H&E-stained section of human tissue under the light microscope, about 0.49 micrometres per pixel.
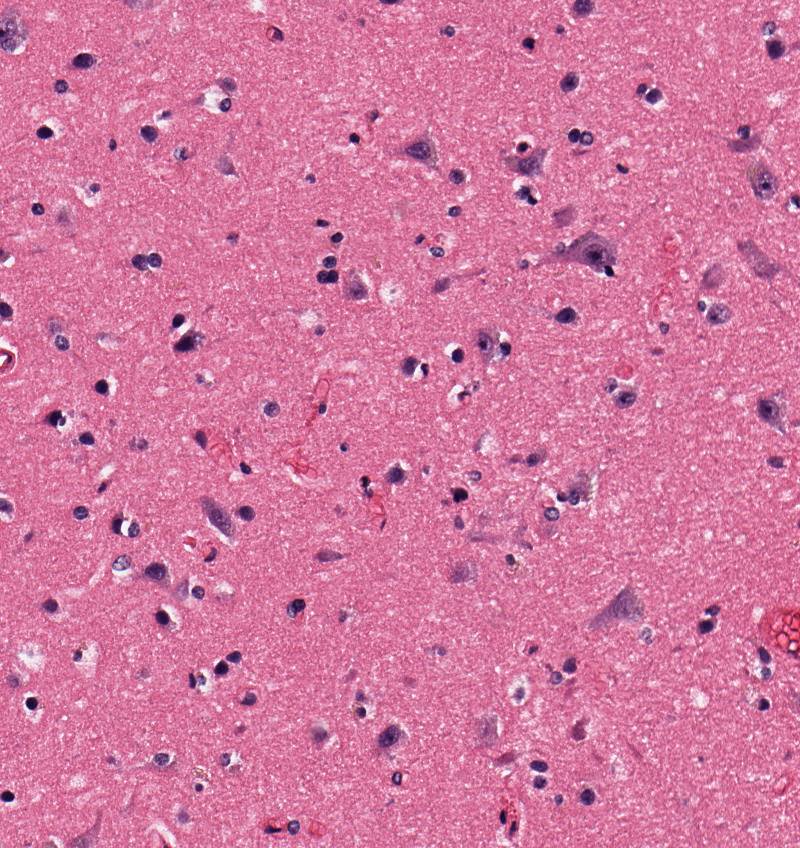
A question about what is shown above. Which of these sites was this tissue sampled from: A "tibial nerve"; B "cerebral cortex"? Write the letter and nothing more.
B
